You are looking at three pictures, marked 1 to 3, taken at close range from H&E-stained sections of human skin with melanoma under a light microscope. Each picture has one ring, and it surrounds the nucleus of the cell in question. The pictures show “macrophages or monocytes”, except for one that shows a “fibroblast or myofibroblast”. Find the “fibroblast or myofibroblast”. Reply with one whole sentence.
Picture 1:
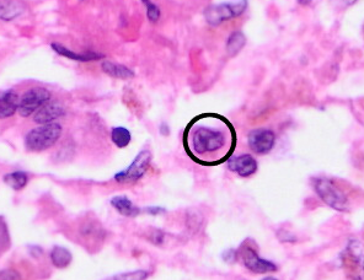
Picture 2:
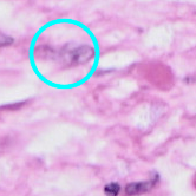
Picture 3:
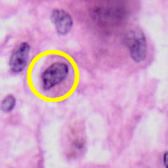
The picture with the “fibroblast or myofibroblast” is 2.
